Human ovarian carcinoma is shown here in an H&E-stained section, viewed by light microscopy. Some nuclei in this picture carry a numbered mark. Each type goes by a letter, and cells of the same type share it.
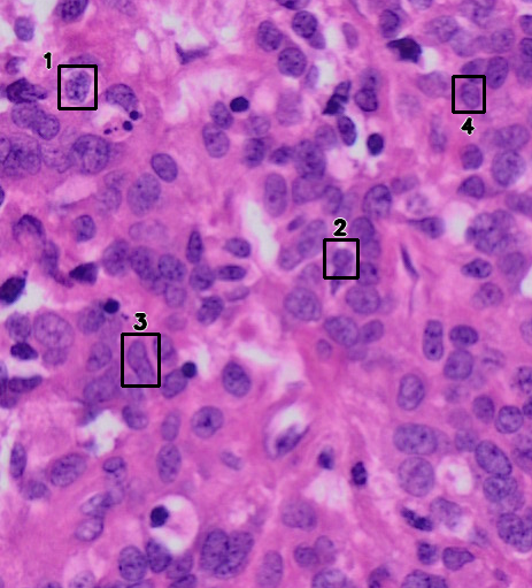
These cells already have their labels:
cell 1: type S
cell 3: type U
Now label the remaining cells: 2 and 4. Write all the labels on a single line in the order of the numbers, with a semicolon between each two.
type U; type U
